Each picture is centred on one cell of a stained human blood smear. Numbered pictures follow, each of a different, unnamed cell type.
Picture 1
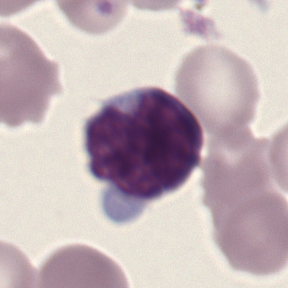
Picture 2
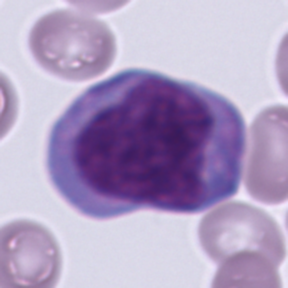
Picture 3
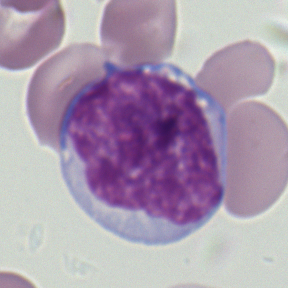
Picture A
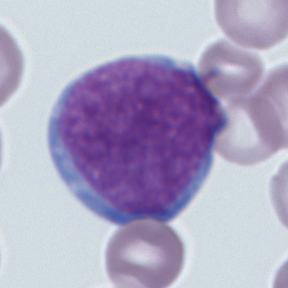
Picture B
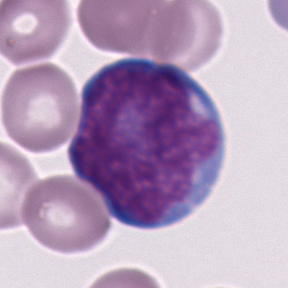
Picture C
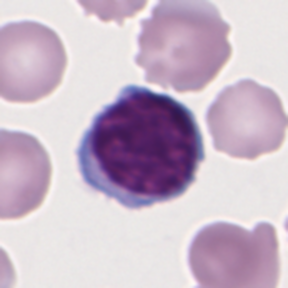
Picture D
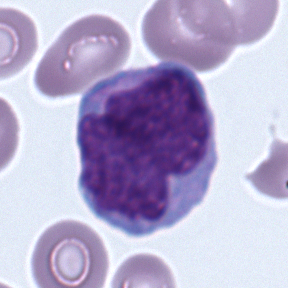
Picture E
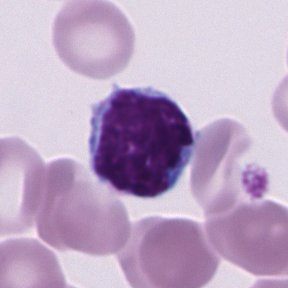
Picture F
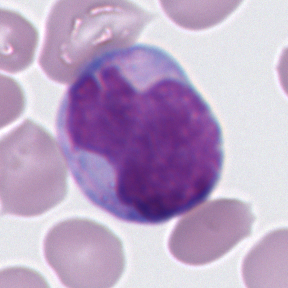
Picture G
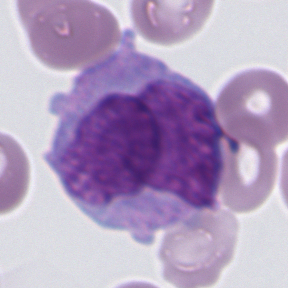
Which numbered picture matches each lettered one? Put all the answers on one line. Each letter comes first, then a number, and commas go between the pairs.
A 3, B 3, C 1, D 2, E 1, F 2, G 2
